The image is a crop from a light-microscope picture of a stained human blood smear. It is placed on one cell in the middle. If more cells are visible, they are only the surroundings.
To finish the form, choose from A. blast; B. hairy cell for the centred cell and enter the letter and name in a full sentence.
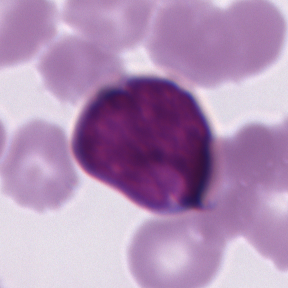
The centrally positioned cell is a blast, consistent with option A, which is correct.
